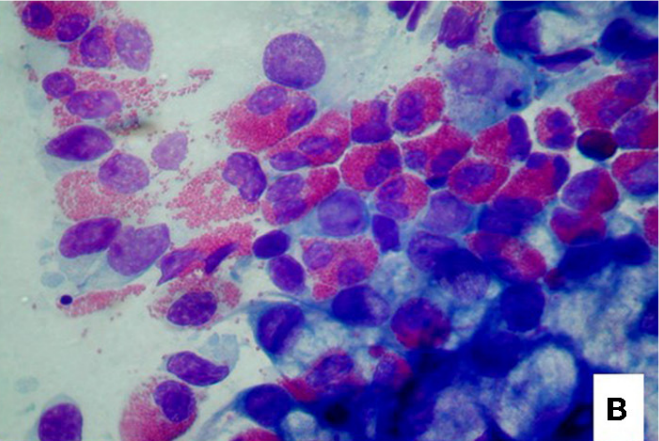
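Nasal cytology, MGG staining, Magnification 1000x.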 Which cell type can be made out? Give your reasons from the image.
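Many cells have cytoplasm packed with bright red-orange granules. Loose red-orange granules are scattered beside the cells. A dark blue cluster of other cells lies at the lower right.
Hence: Eosinophils.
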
